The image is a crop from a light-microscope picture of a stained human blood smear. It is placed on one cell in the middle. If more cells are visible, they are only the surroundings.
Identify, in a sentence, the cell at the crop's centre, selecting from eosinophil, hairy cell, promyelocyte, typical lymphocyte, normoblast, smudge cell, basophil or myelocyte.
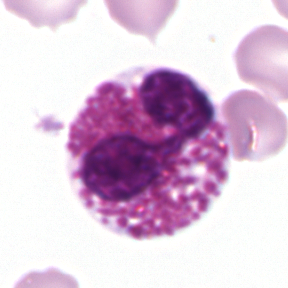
The centrally placed cell is classified as an eosinophil.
